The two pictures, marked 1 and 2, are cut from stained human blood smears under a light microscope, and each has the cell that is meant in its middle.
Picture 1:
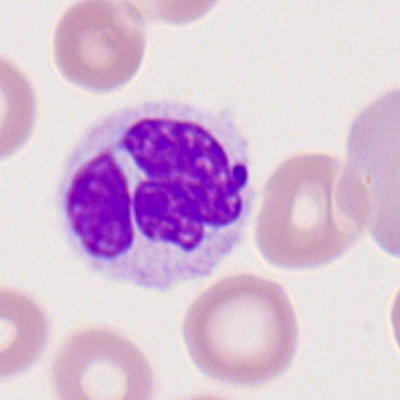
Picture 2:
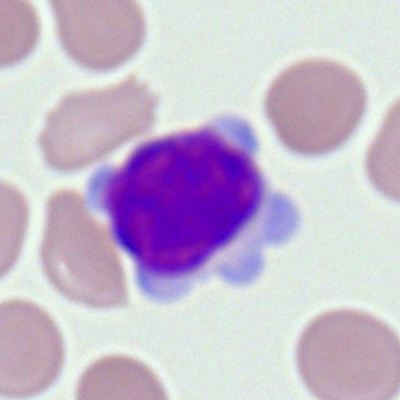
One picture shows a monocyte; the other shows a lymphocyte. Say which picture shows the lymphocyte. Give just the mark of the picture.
2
